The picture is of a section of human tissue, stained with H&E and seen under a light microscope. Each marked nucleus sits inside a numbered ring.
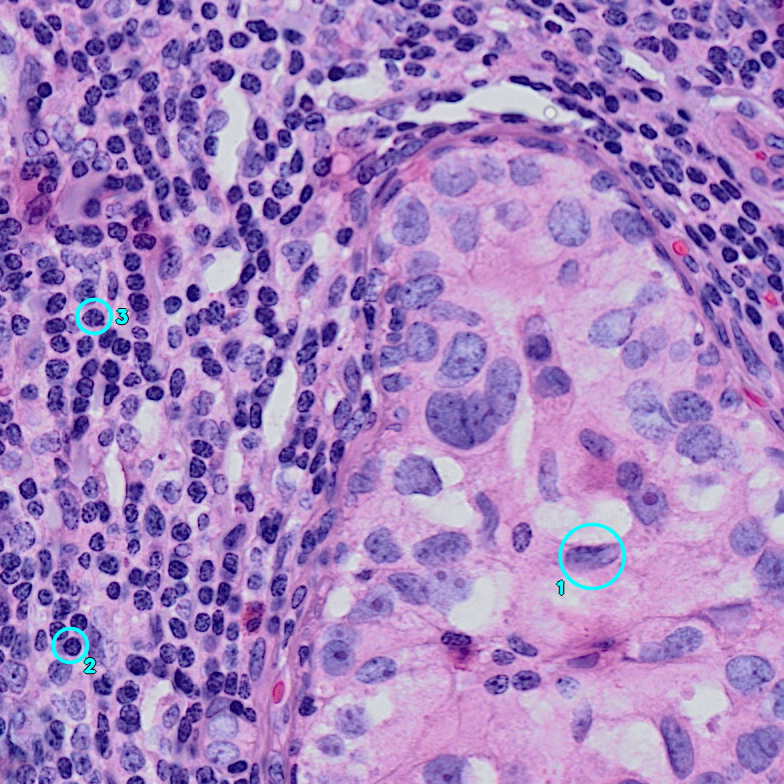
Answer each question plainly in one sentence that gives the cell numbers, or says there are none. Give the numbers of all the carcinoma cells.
Cell 1 is the single numbered cell that is a carcinoma cell.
